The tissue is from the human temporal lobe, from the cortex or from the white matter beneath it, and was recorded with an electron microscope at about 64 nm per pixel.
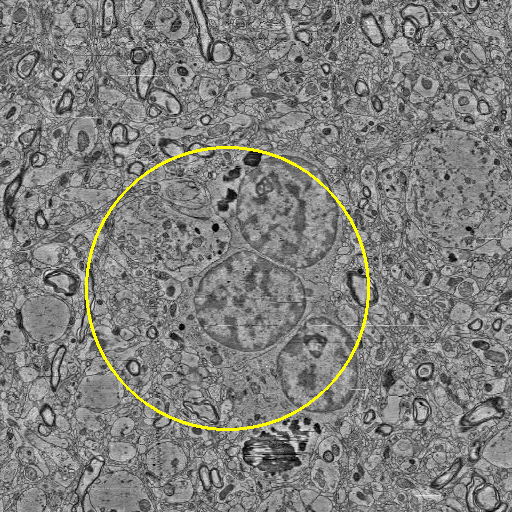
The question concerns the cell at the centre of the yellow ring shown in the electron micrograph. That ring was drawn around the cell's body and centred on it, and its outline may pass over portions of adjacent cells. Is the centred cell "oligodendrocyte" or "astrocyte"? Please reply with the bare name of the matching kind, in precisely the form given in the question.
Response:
oligodendrocyte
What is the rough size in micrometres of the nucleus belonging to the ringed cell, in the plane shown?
In this plane the nucleus measures roughly 7 by 6 micrometres.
